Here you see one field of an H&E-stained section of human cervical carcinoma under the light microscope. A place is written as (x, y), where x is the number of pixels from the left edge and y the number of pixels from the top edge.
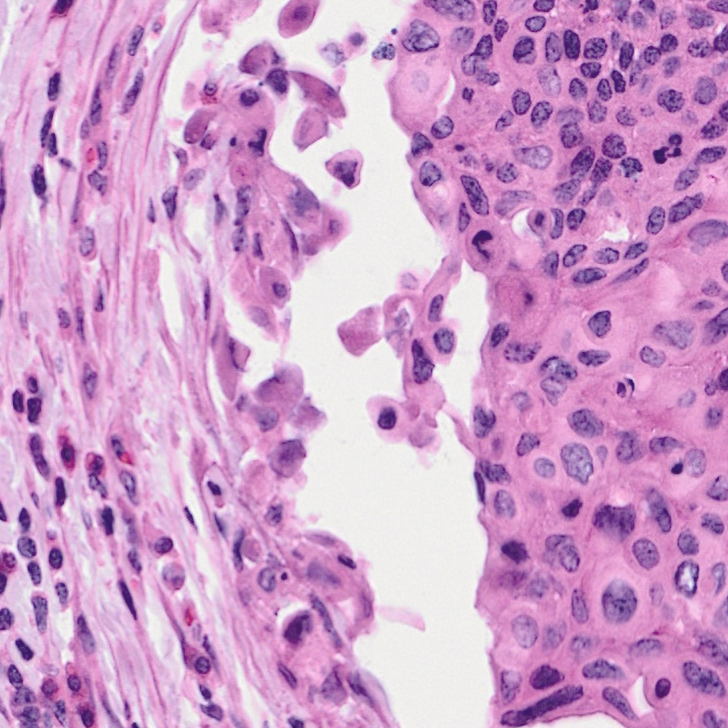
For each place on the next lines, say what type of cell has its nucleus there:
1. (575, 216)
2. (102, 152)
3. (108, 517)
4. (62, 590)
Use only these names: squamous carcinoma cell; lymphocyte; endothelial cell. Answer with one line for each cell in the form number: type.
1: squamous carcinoma cell
2: endothelial cell
3: lymphocyte
4: lymphocyte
